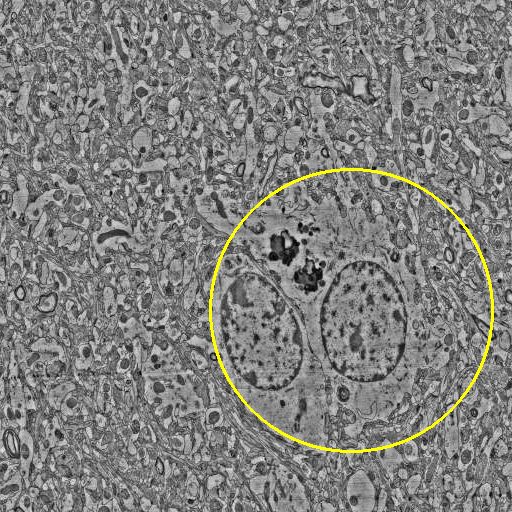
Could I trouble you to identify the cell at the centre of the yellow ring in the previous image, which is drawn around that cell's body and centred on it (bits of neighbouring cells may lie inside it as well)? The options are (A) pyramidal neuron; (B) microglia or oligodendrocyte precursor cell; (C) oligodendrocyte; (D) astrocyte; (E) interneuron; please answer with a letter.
D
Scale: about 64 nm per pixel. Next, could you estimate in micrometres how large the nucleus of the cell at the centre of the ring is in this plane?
The nucleus works out at approximately 8 by 5 micrometres in this plane.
